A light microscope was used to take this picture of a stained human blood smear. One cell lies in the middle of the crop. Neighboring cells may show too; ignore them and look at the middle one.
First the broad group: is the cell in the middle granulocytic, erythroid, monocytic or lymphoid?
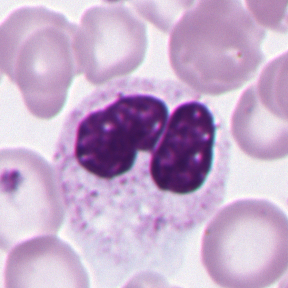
granulocytic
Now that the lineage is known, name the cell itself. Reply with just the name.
segmented neutrophil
